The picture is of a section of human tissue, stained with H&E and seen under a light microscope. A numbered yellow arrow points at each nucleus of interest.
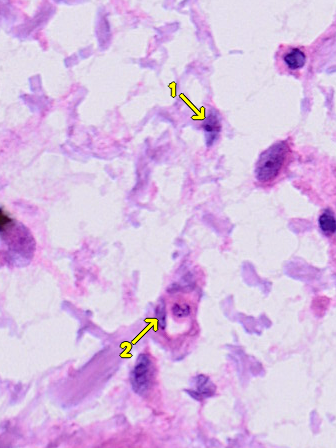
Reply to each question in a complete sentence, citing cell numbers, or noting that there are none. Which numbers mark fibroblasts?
As for the numbered cells, only cell 1 is a fibroblast.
